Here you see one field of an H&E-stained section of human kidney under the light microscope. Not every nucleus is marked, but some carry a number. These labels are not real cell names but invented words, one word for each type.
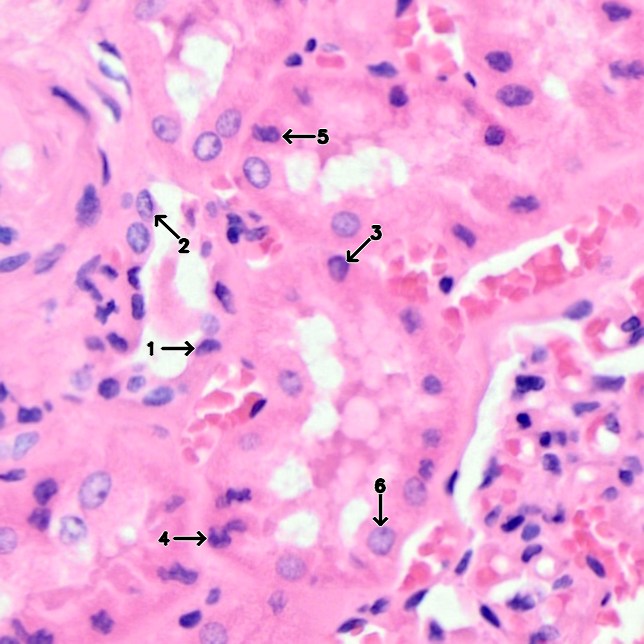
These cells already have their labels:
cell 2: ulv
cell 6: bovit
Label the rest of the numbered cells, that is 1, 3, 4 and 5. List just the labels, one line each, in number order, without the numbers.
ulv
bovit
bovit
bovit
